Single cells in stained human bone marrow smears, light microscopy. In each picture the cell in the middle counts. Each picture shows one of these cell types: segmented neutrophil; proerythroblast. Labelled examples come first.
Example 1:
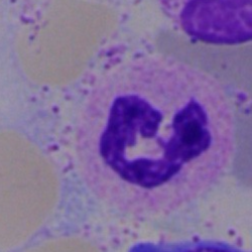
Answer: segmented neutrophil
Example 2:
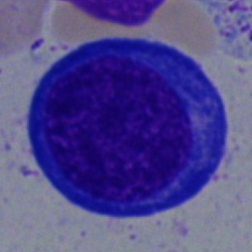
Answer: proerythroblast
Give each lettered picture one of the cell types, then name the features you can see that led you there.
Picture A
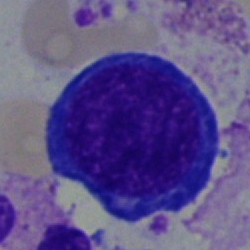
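proerythroblast. Reason: The cytoplasm forms only a narrow rim around the nucleus.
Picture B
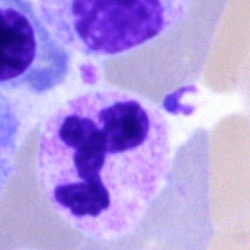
segmented neutrophil. Reason: The cytoplasm is abundant and pale pink.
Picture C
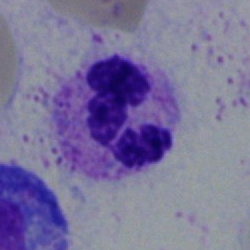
segmented neutrophil. Reason: The cytoplasm is abundant and pale pinkish-lilac.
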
